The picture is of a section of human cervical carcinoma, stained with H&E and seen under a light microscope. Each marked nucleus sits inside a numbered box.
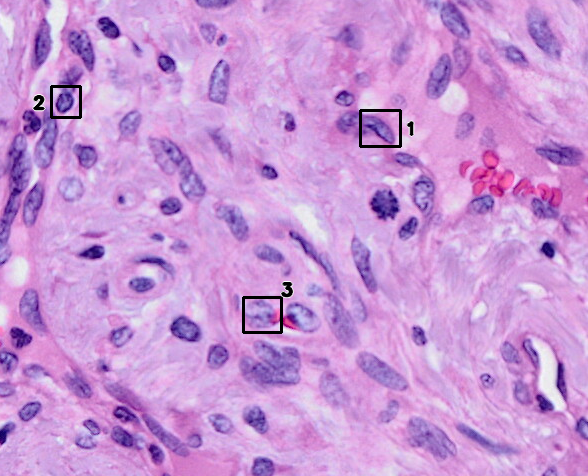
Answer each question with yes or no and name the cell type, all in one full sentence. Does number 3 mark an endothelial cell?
Yes, the cell distinguished by number 3 is an endothelial cell.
